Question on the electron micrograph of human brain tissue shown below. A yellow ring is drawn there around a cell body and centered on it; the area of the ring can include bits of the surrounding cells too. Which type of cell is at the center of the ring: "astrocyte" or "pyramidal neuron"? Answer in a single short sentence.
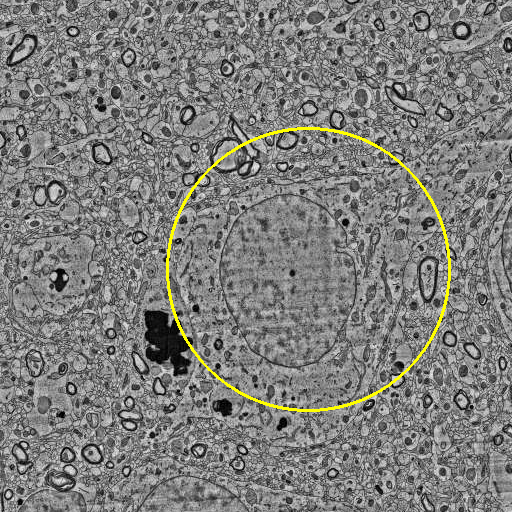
The ring is centered on a pyramidal neuron.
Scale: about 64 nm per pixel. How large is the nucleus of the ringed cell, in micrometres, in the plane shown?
The nucleus appears roughly 11 by 9 micrometres in this plane.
